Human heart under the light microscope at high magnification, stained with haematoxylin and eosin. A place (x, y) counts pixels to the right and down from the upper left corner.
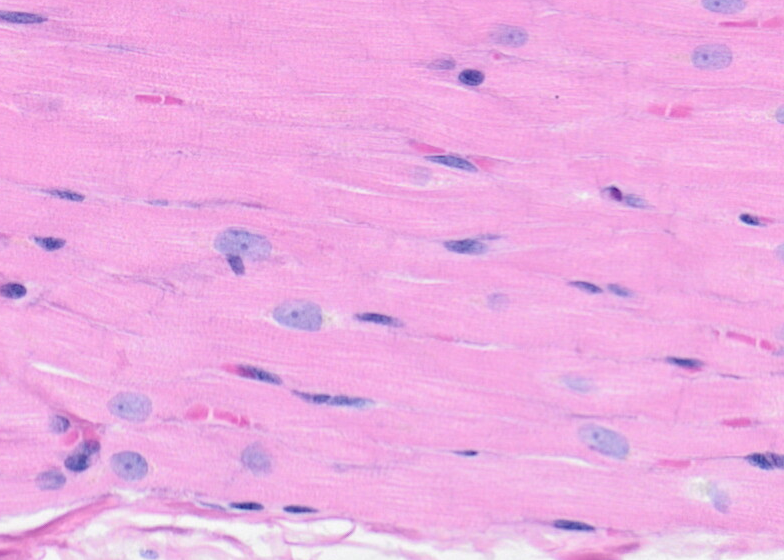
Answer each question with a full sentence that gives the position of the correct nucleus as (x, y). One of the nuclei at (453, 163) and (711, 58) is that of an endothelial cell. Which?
The nucleus at position (453, 163) belongs to an endothelial cell.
